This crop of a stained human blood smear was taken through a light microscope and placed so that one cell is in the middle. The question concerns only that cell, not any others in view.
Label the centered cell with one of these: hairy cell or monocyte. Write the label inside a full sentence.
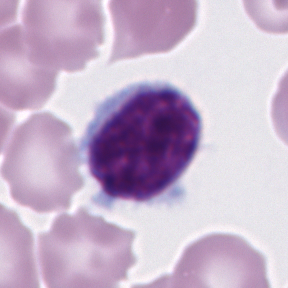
In the centre of this crop there is a hairy cell.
